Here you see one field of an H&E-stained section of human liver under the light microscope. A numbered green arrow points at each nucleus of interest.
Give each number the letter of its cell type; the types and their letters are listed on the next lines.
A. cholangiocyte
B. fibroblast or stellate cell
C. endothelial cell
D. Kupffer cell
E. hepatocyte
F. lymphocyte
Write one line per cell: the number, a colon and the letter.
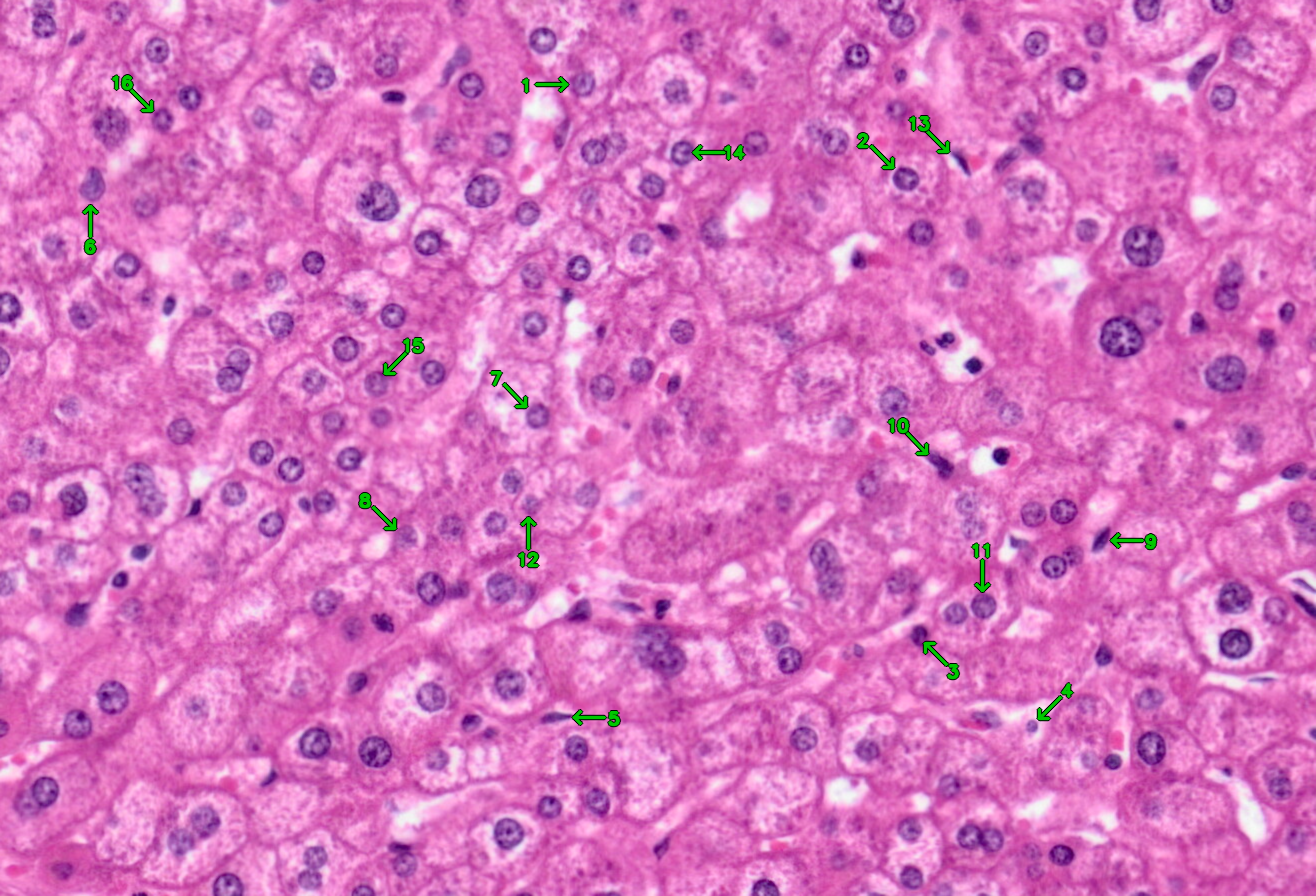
1: E
2: E
3: D
4: F
5: C
6: C
7: E
8: E
9: C
10: D
11: E
12: E
13: C
14: E
15: E
16: E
